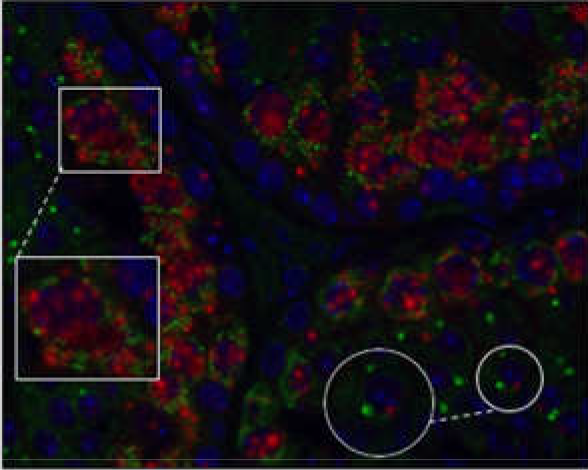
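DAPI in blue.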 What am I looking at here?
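Seminiferous epithelium with clusters of large spermatocytes and, nearer the lumen, small round spermatids. Spermatocytes have large blue nuclei with abundant granular red signal and green granules clustered around the nucleus. Spermatids show compact round nuclei with a single bright green dot each.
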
